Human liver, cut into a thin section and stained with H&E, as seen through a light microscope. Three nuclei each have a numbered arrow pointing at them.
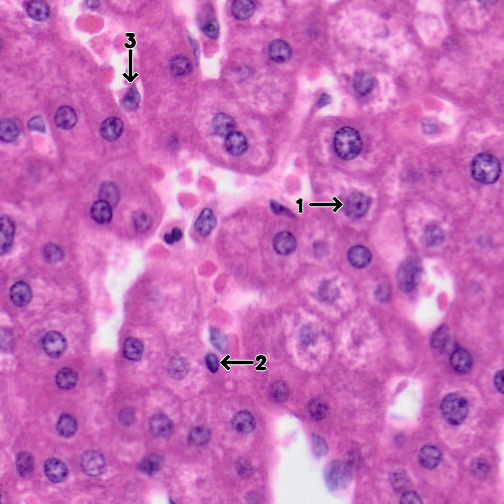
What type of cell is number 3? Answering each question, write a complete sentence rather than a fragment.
The cell indicated with the number 3 is classed as an endothelial cell.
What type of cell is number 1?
Among the marked cells, number 1 is a hepatocyte.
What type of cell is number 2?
Looking at the numbered marks, cell 2 is a fibroblast or stellate cell.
